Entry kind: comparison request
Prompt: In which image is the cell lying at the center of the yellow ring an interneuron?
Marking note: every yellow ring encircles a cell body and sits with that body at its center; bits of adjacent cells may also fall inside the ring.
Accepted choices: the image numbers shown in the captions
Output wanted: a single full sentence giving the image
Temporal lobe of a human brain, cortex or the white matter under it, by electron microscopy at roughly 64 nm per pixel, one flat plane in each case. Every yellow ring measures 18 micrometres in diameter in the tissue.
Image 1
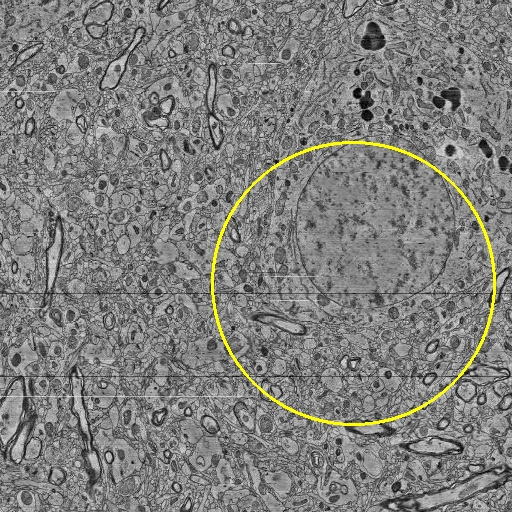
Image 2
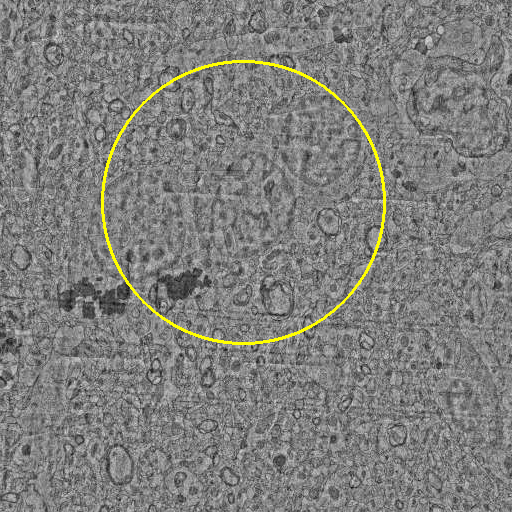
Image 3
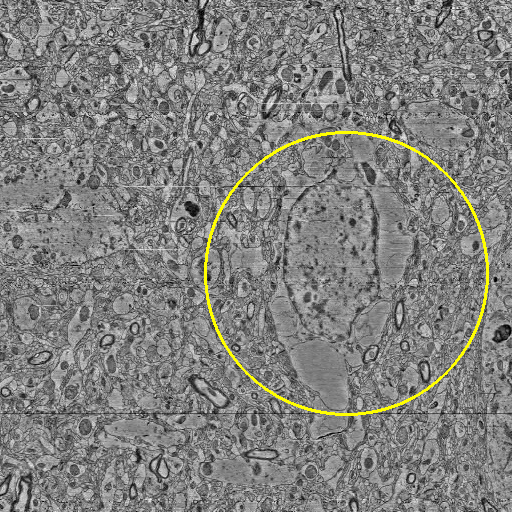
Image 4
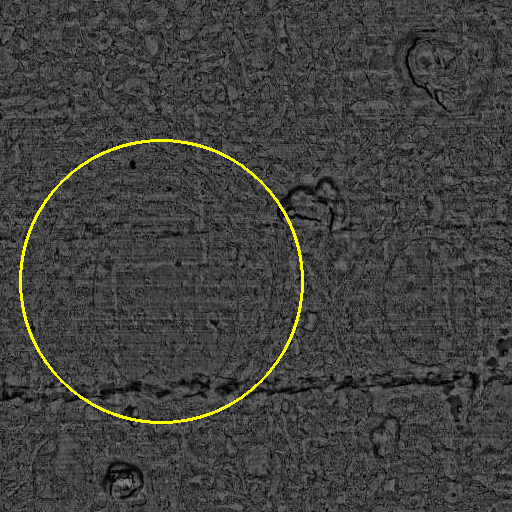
In image 1, the ringed cell at the center matches the prompt.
